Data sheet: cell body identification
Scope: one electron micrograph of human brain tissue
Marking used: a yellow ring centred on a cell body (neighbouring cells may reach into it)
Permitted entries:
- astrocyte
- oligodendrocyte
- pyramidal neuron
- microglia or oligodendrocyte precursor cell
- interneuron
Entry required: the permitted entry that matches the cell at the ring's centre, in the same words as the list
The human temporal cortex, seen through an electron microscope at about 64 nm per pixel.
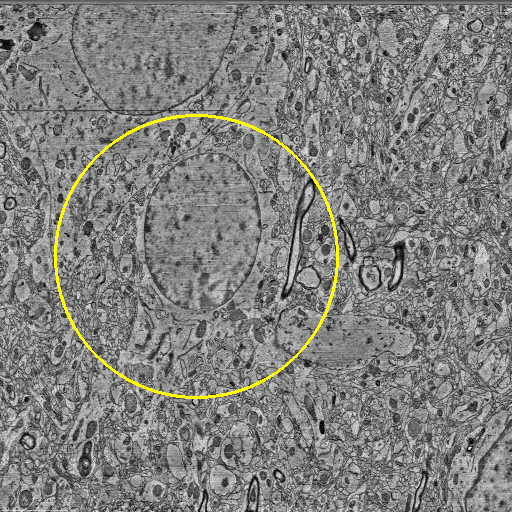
astrocyte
